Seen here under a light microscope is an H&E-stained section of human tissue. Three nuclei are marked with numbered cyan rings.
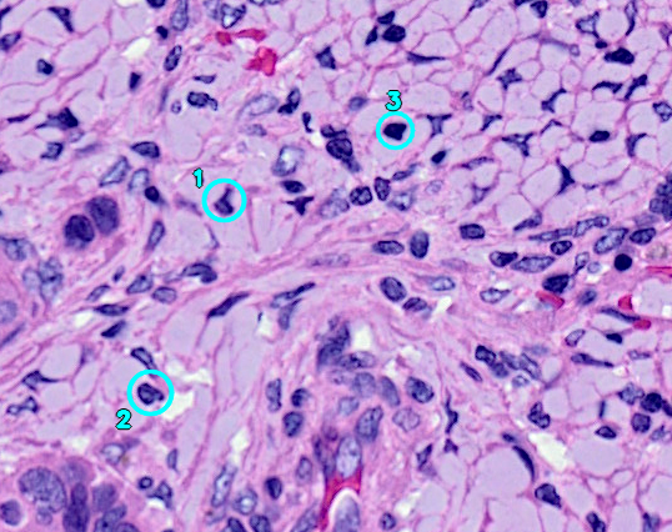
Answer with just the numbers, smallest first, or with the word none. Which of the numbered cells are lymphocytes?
2, 3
